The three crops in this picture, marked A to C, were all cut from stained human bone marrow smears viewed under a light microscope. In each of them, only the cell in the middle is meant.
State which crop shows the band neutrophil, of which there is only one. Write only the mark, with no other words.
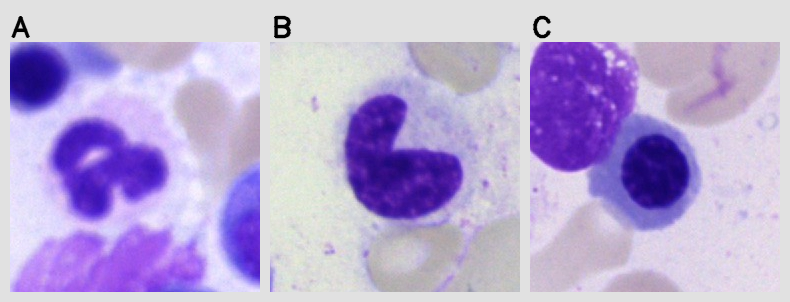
B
